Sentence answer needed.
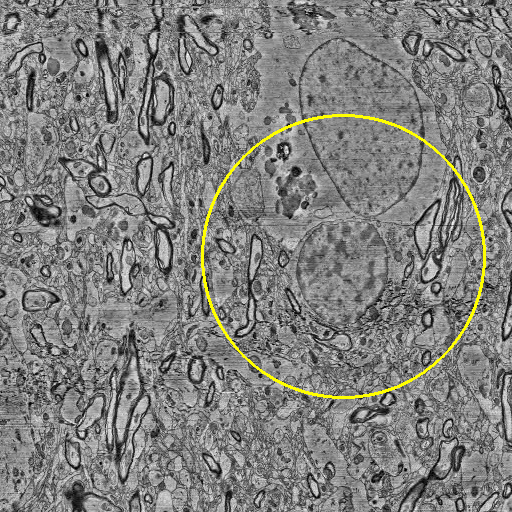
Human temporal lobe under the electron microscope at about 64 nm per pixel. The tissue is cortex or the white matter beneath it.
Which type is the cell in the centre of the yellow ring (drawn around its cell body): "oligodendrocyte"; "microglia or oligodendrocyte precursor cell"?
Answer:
In the centre of the yellow ring is an oligodendrocyte.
